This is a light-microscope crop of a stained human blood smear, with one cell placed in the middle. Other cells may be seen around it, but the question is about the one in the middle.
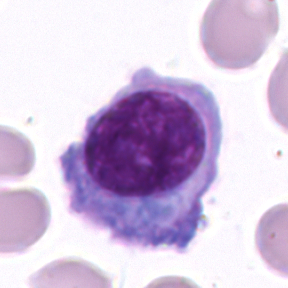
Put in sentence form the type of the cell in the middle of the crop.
This crop's central cell is a plasma cell.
